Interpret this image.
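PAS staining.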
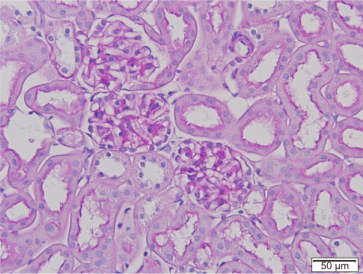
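This section of renal cortex shows large glomeruli whose capillary tufts fill most of Bowman's space and contain abundant magenta-stained matrix between the nuclei. The surrounding tubules are lined by cuboidal epithelial cells with pale, lightly stained cytoplasm and round nuclei. Tubular lumina are open and the tubules lie closely packed with little interstitium between them.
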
